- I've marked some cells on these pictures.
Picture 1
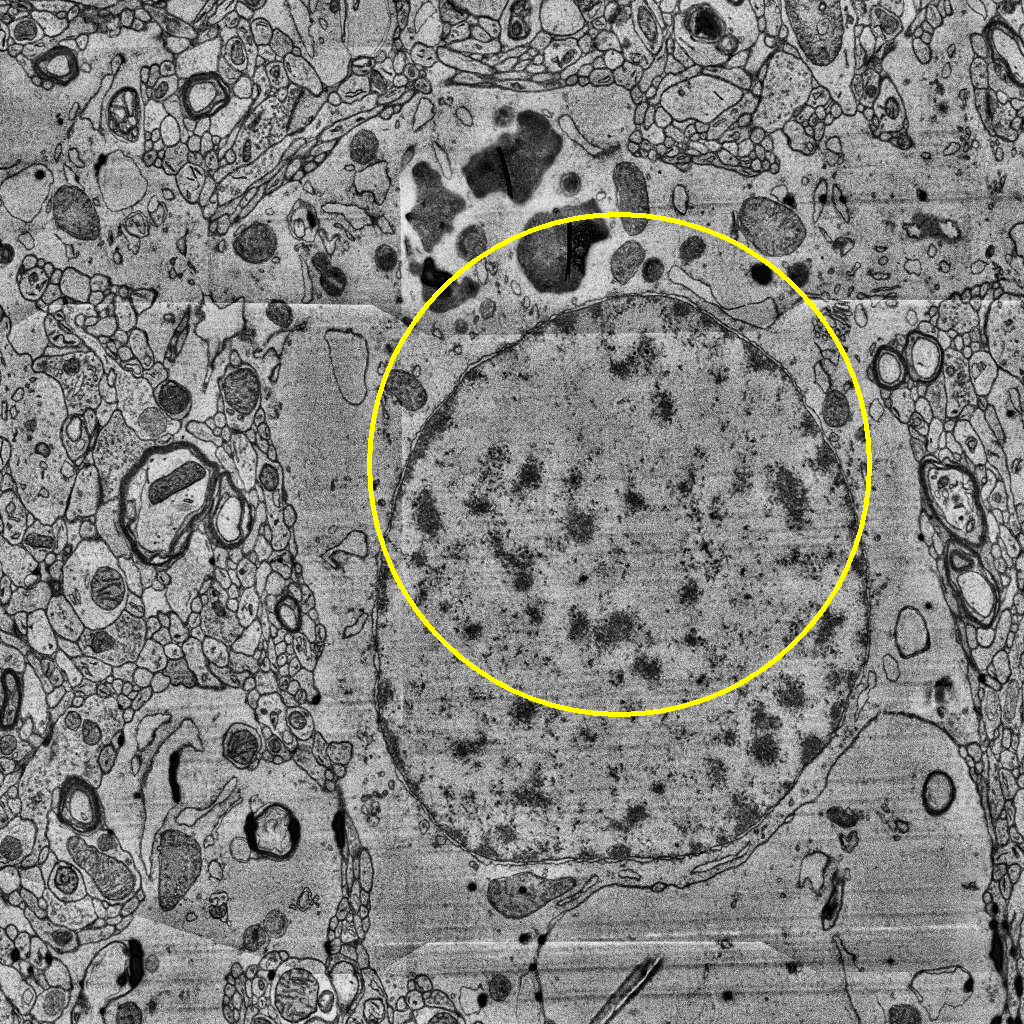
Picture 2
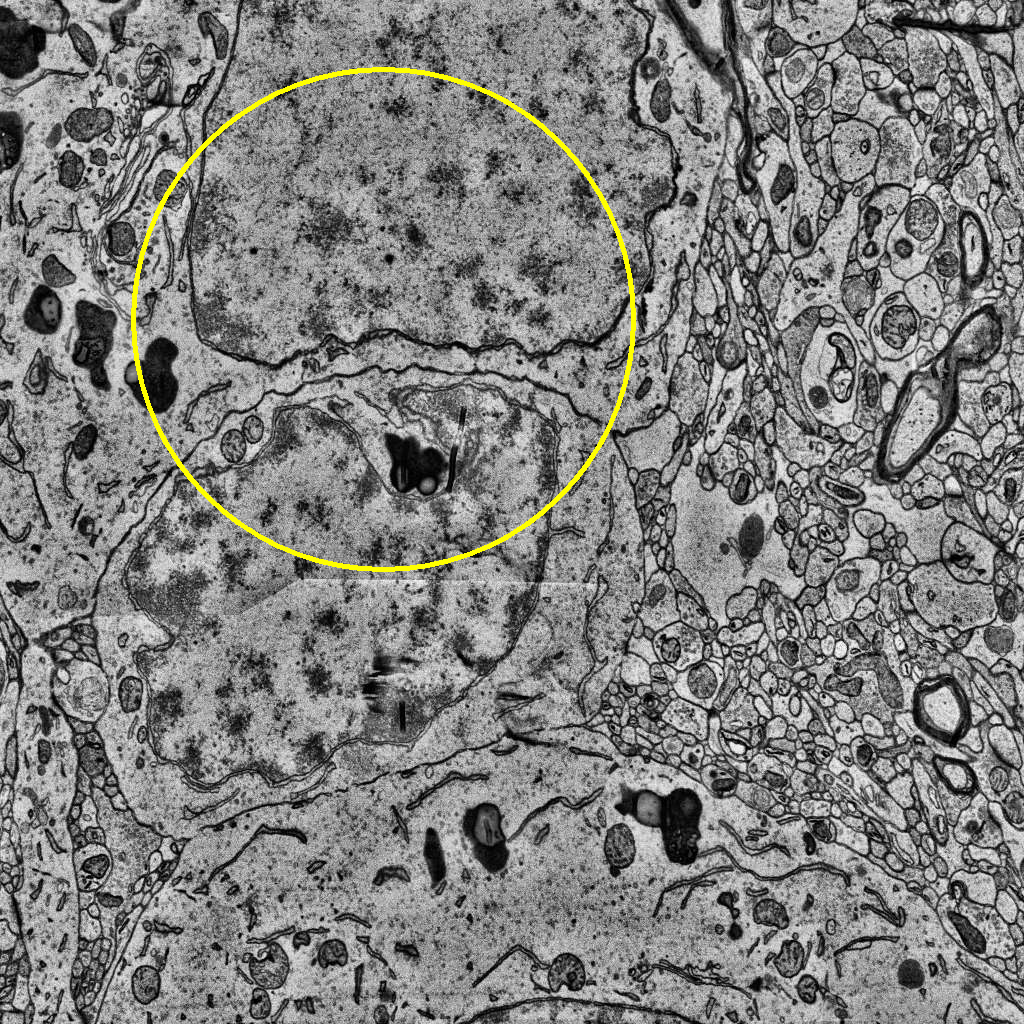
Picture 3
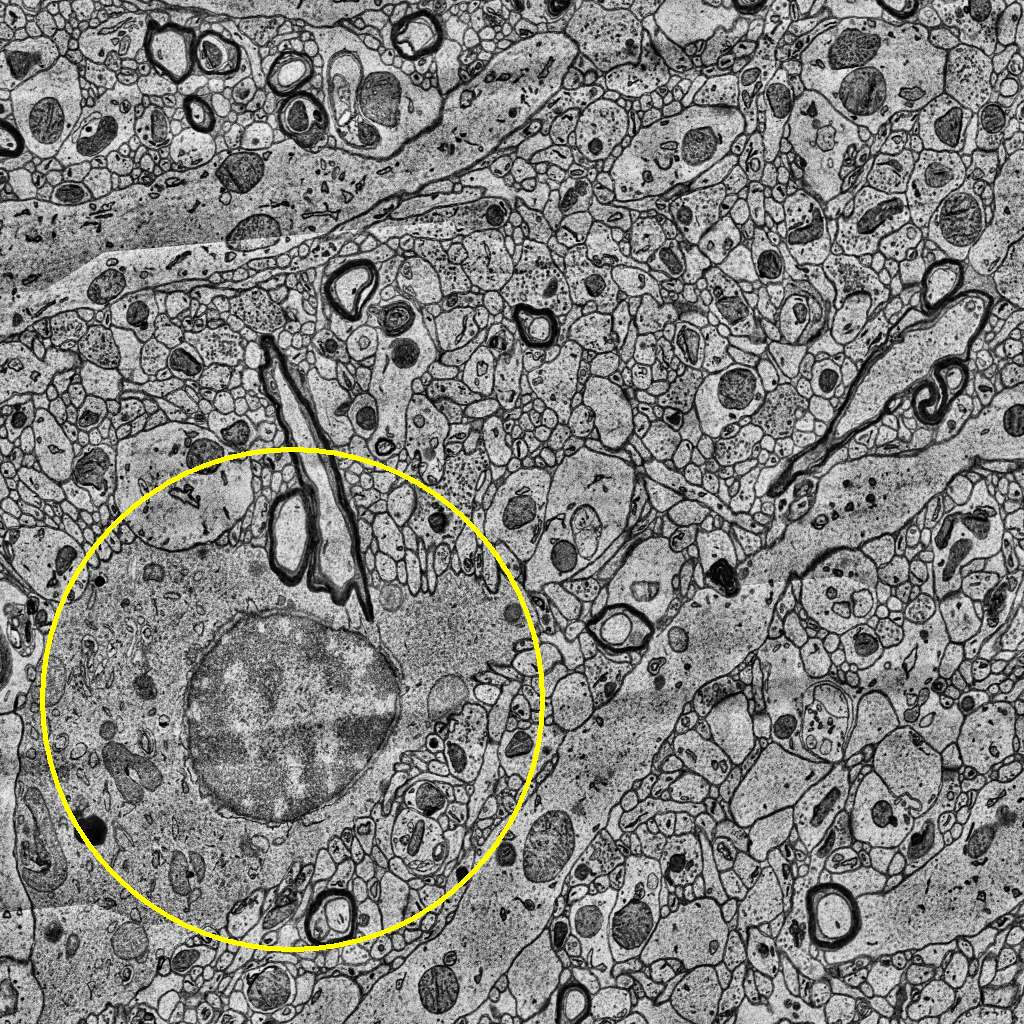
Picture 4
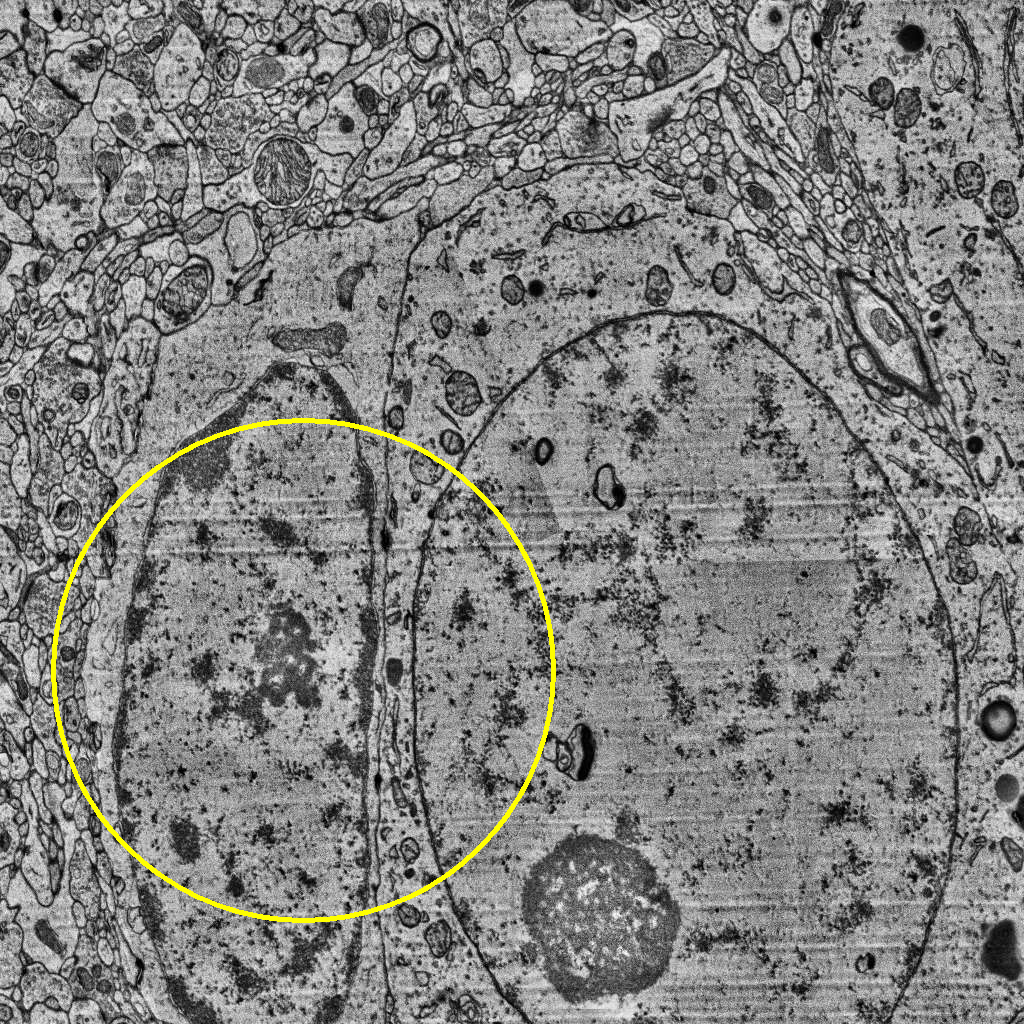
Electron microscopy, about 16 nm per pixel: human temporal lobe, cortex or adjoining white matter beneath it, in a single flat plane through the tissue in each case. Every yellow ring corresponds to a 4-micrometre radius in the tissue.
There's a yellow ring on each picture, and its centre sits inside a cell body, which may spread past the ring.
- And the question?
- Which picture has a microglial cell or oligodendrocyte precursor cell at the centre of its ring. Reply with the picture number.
4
